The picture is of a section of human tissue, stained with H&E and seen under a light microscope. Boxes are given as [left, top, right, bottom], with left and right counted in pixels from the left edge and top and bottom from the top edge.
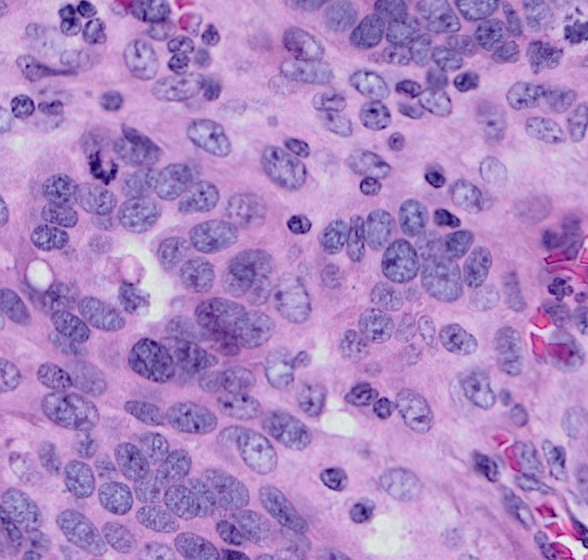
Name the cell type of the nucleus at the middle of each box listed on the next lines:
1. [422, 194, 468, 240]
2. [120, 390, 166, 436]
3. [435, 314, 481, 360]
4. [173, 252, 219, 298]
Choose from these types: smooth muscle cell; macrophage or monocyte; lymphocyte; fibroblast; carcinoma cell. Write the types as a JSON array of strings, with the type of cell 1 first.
["lymphocyte", "carcinoma cell", "macrophage or monocyte", "carcinoma cell"]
